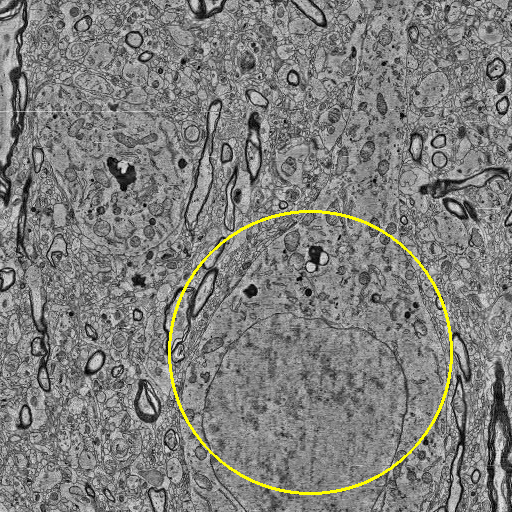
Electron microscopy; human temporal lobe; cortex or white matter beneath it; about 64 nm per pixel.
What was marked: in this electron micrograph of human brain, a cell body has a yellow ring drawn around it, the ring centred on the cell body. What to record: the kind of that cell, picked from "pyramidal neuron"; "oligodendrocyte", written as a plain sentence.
The centred cell is a pyramidal neuron.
